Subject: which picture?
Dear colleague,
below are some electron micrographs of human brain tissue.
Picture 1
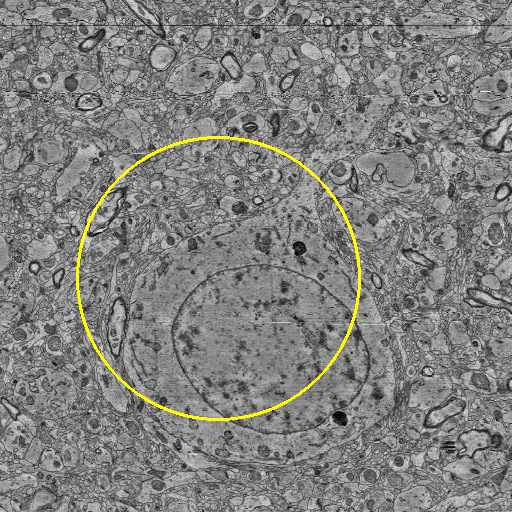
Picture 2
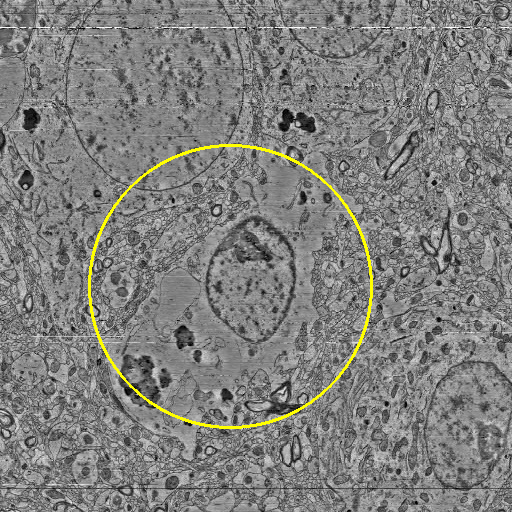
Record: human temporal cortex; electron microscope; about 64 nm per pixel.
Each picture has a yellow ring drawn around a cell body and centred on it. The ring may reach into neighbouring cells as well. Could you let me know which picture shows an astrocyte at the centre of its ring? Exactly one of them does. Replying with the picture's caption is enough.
Picture 2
